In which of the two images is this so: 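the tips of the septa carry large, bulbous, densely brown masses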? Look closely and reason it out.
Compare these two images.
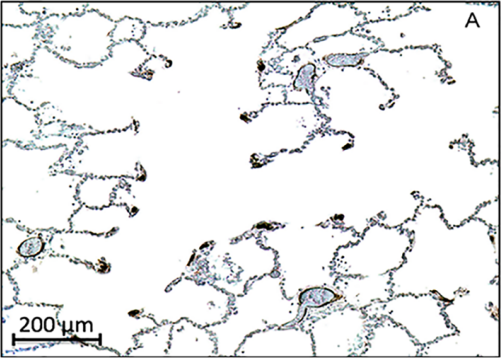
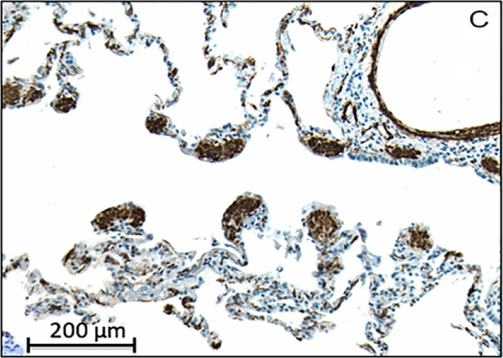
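First image: septal tips carry only small brown knobs. Second image: septal tips end in large rounded dark brown masses.
Hence: the second image.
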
